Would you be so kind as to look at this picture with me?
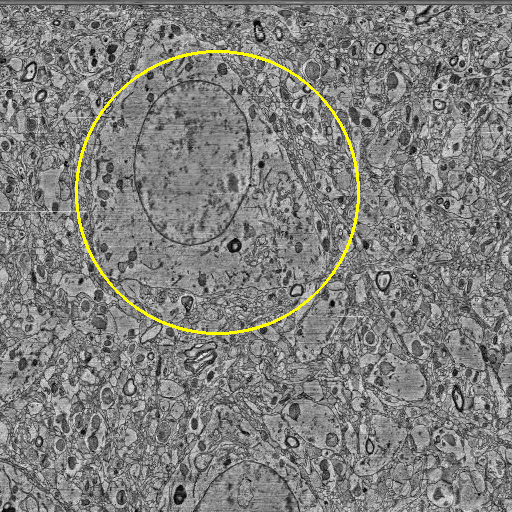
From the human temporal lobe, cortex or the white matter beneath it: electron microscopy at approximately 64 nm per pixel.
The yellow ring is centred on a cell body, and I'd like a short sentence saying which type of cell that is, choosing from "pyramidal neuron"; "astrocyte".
The cell body in the ring belongs to a pyramidal neuron.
